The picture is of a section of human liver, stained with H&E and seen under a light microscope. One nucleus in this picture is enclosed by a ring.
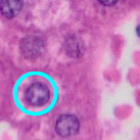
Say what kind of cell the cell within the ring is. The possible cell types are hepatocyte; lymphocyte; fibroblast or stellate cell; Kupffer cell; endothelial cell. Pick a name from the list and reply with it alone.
hepatocyte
